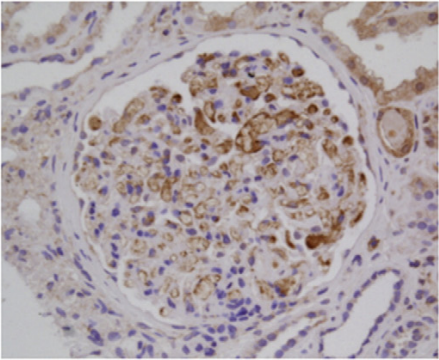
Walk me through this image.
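This is kidney cortex with a glomerulus in the centre, surrounded by cross-sections of tubules. The glomerular tuft is enclosed by a thin capsule with a narrow clear space around it. Many cells within the tuft show brown cytoplasmic staining, mixed with blue-stained nuclei.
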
